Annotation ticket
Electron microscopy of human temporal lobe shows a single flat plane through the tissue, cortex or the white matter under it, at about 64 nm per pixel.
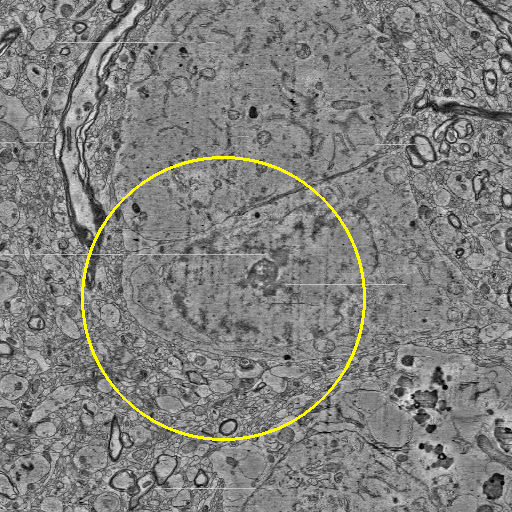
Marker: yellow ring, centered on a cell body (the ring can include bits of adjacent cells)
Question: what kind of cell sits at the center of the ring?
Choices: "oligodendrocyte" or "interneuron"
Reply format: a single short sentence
The ring is centered on an interneuron.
